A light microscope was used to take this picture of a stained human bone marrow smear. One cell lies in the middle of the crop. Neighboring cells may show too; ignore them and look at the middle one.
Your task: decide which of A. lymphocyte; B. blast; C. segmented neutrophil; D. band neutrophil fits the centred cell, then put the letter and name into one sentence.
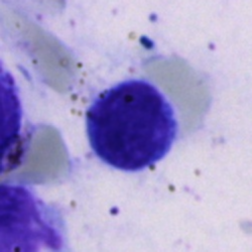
Option A gets it right: the cell in the middle is a lymphocyte.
